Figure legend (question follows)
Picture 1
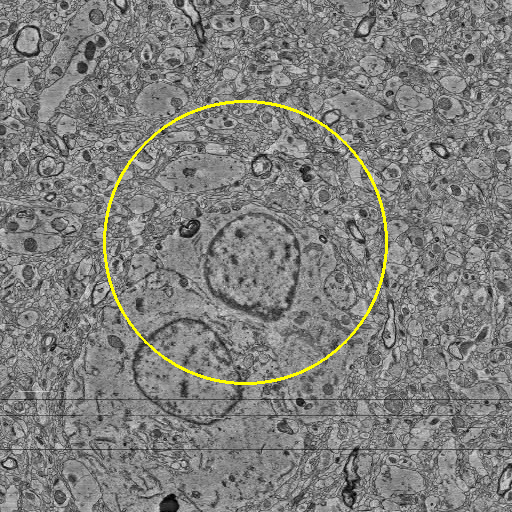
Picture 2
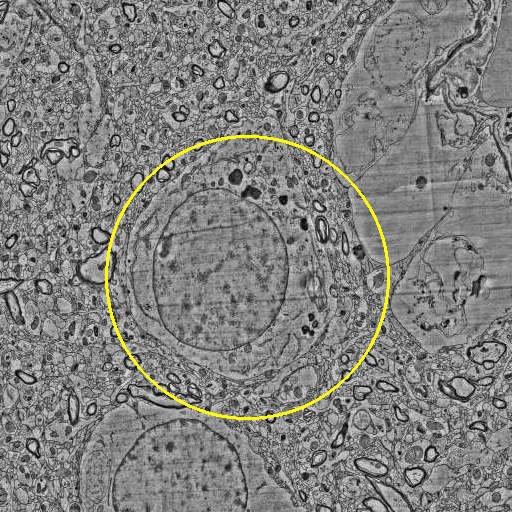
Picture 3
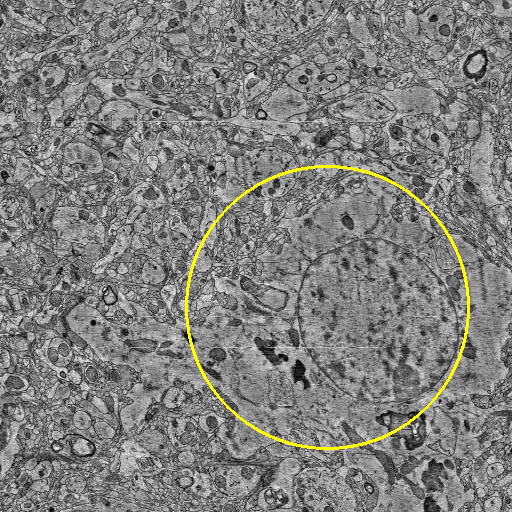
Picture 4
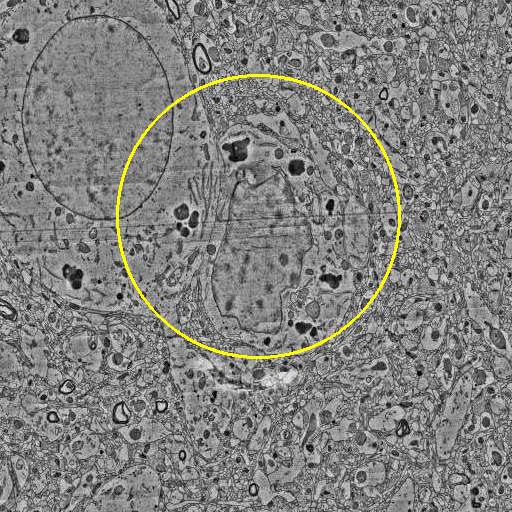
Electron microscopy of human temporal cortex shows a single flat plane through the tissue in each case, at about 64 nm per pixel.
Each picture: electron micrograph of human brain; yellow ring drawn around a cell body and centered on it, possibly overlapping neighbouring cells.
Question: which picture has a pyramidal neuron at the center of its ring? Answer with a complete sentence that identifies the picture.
Picture 2 has it at the center of its ring.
